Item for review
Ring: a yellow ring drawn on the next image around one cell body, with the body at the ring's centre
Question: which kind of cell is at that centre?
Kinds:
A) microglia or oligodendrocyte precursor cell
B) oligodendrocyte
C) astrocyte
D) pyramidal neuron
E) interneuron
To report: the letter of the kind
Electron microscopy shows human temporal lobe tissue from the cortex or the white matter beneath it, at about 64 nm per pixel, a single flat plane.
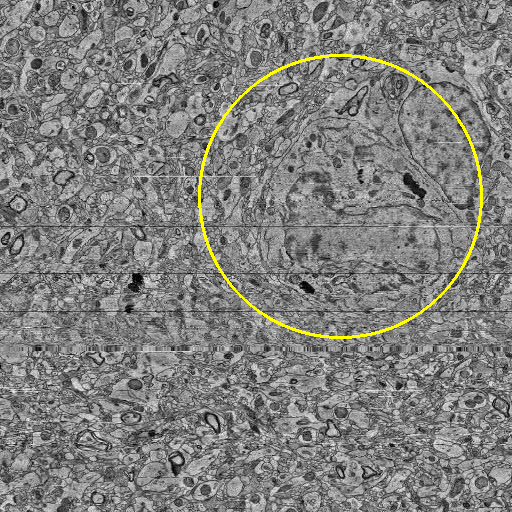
E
